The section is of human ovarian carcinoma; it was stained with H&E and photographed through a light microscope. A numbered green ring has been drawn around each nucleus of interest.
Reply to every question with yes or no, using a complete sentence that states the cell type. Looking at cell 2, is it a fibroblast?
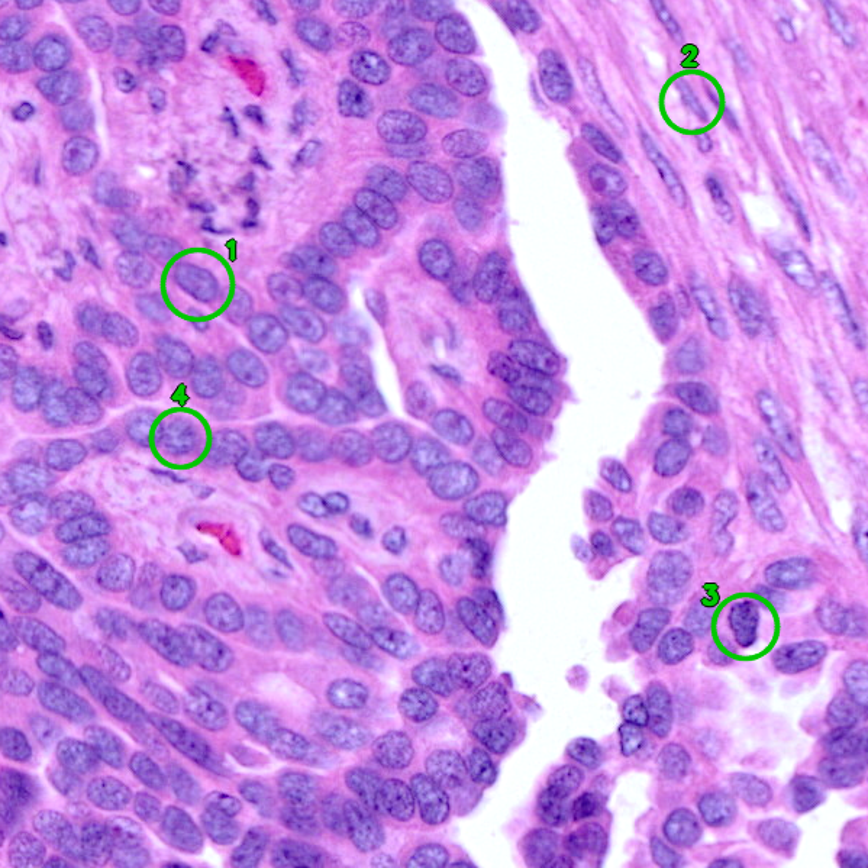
Yes, the cell identified as number 2 is a fibroblast.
